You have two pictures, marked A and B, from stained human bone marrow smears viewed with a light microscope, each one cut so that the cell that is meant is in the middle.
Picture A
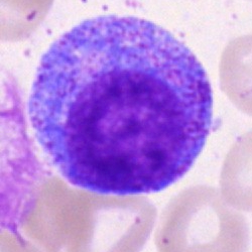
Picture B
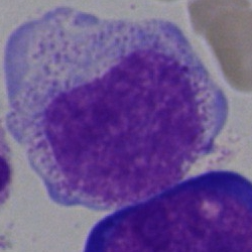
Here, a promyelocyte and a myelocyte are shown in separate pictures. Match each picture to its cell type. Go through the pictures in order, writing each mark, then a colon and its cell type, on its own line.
A: promyelocyte
B: myelocyte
